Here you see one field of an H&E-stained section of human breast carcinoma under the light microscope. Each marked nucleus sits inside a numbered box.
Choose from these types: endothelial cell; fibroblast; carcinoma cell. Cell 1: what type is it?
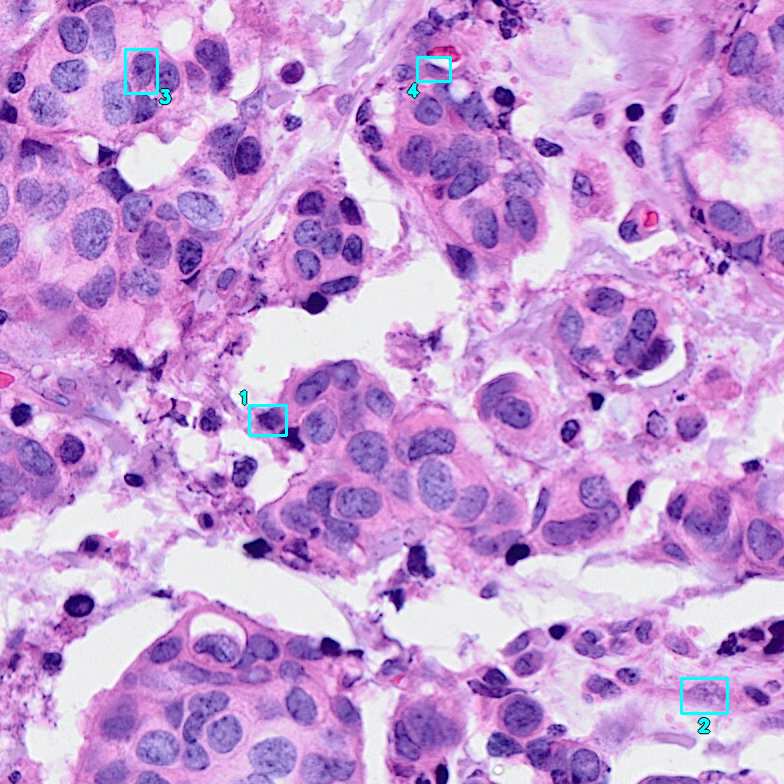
carcinoma cell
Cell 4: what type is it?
endothelial cell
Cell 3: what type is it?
carcinoma cell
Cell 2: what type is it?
fibroblast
